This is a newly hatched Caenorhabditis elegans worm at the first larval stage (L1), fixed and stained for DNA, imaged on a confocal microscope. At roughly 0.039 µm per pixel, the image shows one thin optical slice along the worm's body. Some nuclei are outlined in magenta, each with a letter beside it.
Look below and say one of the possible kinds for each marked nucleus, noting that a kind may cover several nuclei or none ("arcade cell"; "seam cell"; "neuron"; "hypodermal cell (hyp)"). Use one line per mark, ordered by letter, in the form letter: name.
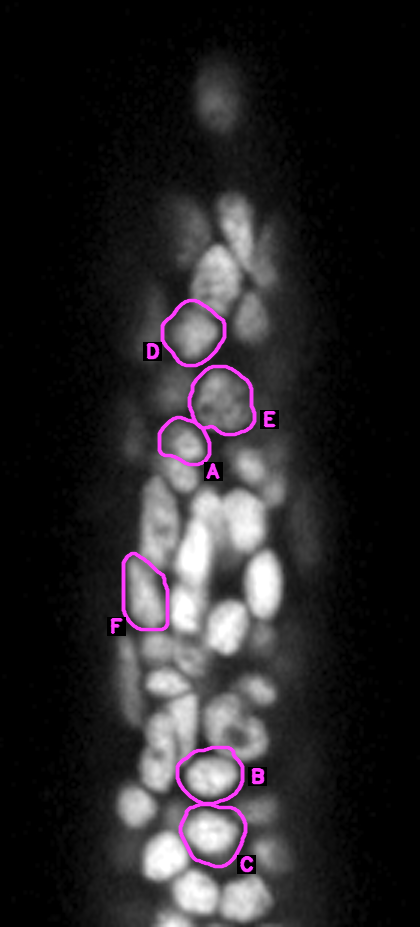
A: hypodermal cell (hyp)
B: neuron
C: neuron
D: arcade cell
E: seam cell
F: neuron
